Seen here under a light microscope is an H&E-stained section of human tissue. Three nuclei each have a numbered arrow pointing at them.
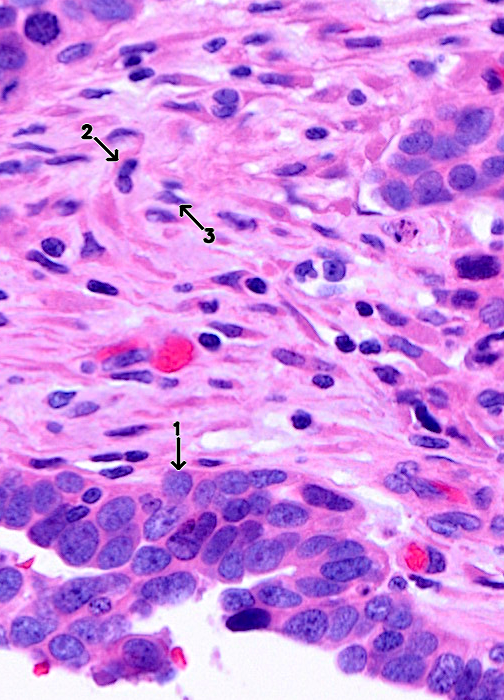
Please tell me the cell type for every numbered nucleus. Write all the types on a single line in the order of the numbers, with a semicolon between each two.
carcinoma cell; lymphocyte; fibroblast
